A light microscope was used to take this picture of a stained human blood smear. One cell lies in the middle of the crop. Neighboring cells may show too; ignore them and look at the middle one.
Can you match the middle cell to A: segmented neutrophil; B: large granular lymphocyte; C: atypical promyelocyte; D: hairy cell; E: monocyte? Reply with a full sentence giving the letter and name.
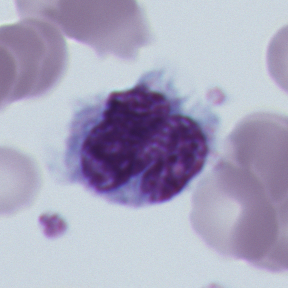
With the cell in the middle being a monocyte, option E is the correct choice.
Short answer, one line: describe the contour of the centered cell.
An irregular outline, ragged or marked by projections, surrounds this cell.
